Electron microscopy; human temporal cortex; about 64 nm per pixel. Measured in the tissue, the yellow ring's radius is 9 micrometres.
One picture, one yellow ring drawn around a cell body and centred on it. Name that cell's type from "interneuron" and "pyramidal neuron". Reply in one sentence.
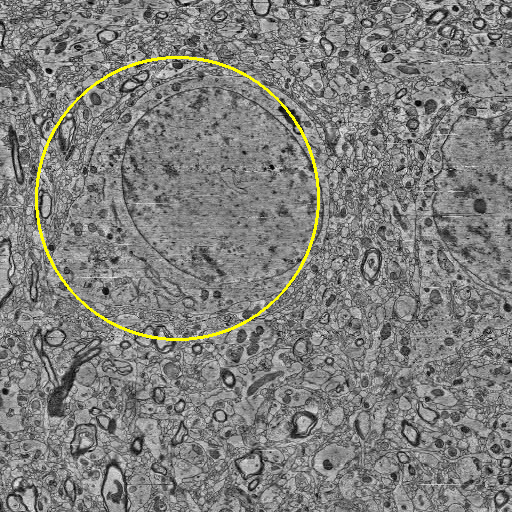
Centred in the ring is a pyramidal neuron.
